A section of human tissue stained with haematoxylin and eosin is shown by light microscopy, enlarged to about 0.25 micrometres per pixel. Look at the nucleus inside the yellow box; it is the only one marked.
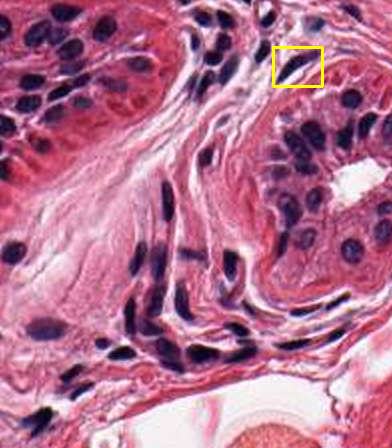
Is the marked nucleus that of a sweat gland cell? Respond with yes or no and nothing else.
no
